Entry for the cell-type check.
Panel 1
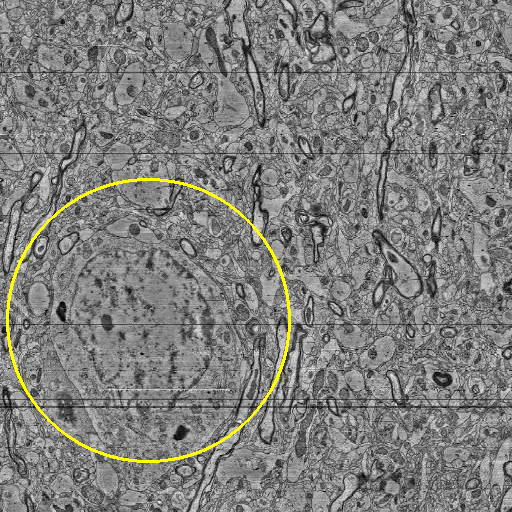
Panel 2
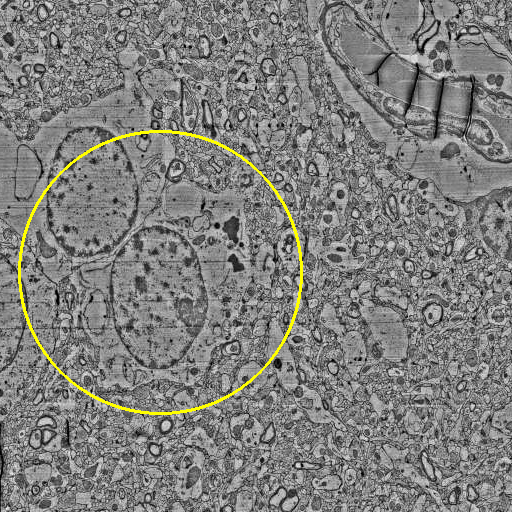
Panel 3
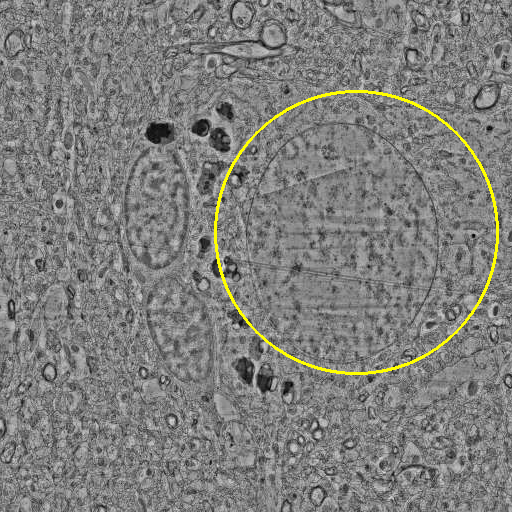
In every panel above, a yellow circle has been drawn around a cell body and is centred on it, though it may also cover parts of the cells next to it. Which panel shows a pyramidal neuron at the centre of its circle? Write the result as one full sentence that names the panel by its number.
Panel 3 shows it at the centre of its circle.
